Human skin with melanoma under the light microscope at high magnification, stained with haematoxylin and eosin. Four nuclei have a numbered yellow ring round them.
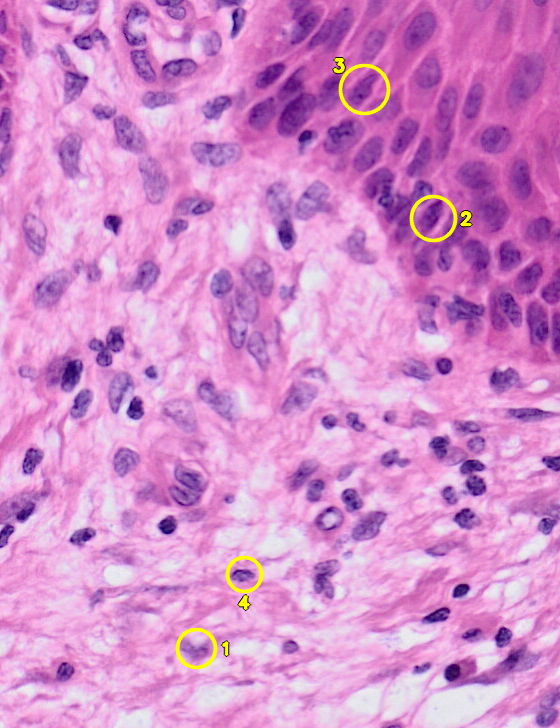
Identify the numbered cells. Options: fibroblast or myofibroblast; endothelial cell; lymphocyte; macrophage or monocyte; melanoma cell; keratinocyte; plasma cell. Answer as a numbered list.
1. fibroblast or myofibroblast
2. keratinocyte
3. keratinocyte
4. lymphocyte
